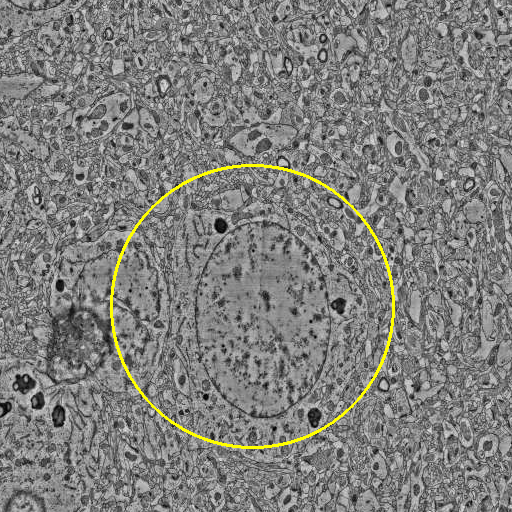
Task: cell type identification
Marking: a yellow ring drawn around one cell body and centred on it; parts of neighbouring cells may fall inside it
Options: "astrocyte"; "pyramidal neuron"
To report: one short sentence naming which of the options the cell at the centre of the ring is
The cell at the centre of the ring is a pyramidal neuron.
